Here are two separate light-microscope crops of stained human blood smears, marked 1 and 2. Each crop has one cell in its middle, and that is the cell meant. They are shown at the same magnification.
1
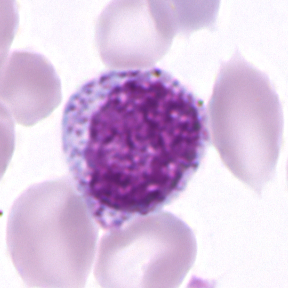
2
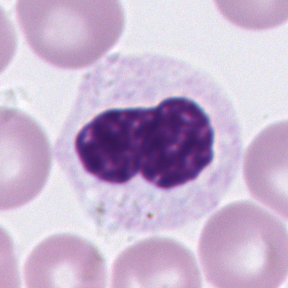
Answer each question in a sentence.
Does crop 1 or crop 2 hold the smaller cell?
The cell in crop 1 is smaller; the one in crop 2 has about 1.5 times its area.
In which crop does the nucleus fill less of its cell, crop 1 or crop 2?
The nucleus fills less of the cell in crop 2 than in crop 1.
